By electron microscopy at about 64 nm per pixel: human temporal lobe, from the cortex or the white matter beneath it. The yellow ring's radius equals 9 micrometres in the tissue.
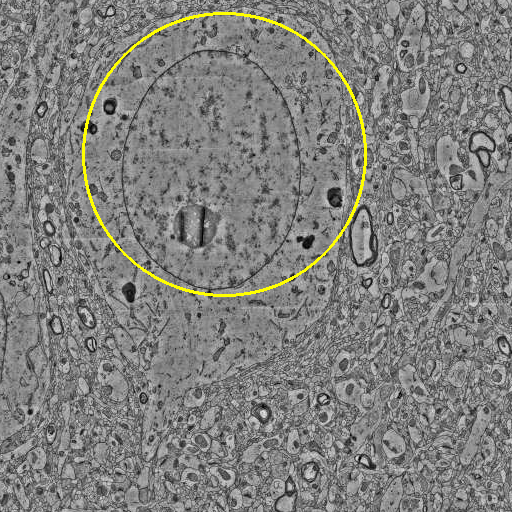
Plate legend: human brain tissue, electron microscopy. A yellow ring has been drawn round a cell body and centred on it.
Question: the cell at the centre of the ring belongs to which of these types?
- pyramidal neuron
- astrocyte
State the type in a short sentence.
The cell in the middle of the ring is a pyramidal neuron.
